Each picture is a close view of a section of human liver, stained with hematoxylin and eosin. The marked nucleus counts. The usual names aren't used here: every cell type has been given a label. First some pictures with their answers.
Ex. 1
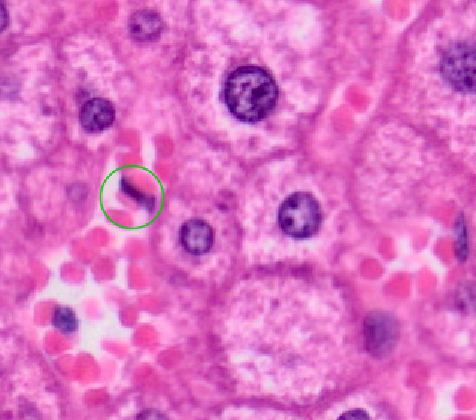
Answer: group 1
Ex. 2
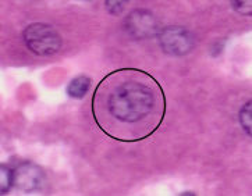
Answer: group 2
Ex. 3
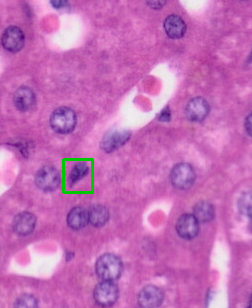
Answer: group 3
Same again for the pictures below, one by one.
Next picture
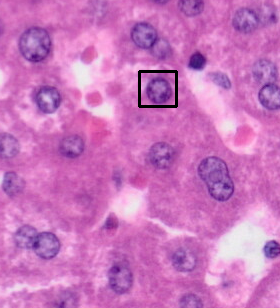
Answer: group 2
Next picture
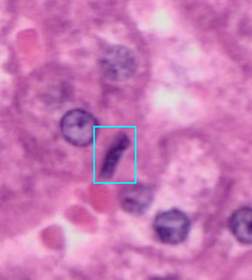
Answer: group 3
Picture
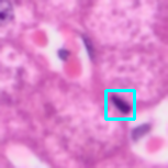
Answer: group 3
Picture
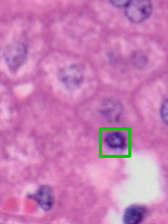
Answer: group 3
